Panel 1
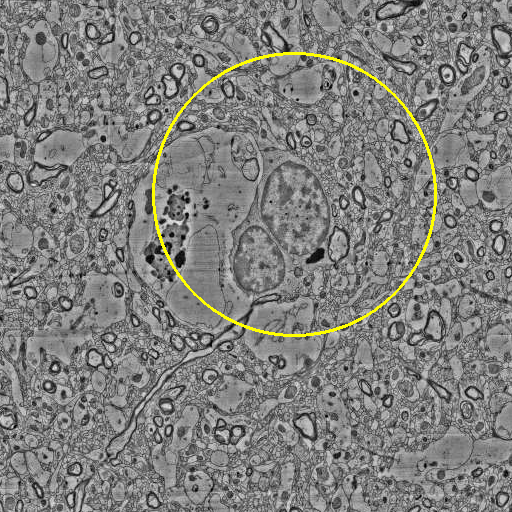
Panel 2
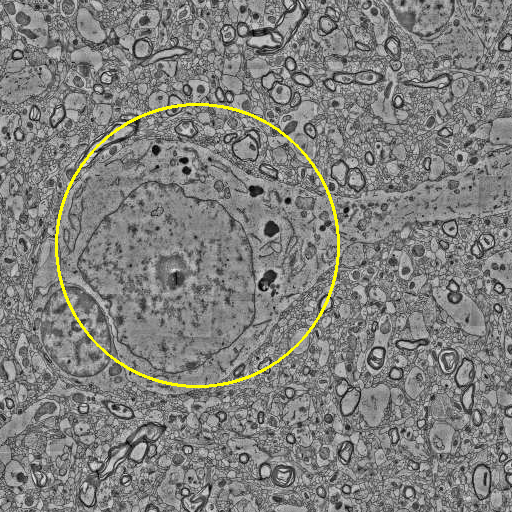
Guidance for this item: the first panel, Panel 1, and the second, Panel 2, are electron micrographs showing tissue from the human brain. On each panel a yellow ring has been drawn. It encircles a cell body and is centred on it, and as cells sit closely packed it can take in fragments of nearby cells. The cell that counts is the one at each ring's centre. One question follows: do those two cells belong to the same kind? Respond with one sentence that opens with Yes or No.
No, the cells at the ring centres in Panel 1 and Panel 2 are of two kinds.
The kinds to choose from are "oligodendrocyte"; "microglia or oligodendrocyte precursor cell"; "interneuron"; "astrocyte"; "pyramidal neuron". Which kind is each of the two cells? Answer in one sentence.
Of the two, the first cell is an oligodendrocyte and the second cell is a pyramidal neuron.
